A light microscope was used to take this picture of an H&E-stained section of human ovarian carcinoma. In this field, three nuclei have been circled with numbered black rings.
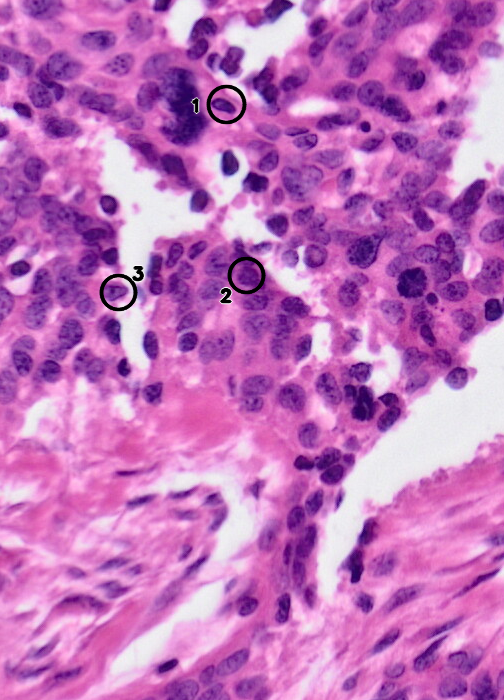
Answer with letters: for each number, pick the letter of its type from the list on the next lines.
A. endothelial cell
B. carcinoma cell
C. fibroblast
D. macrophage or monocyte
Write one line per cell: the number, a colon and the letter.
1: D
2: B
3: D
